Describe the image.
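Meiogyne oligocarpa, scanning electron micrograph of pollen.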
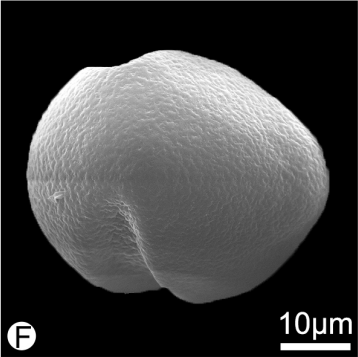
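A single rounded, slightly angular grain fills the view, its surface evenly covered with fine, irregular wrinkled texture rather than being smooth. Toward the lower part of the grain a groove or fold runs across the surface, where the wall appears to dip inward and meet a differently shaped region. There are no spines or large pores.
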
